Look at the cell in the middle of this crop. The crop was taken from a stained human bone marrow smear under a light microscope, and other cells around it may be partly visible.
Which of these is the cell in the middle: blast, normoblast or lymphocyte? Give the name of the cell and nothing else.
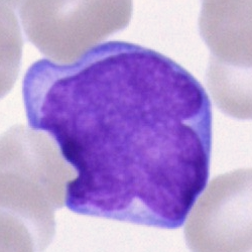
blast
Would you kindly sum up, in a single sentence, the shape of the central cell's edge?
From every side, the cell boundary is smooth and free of projections.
